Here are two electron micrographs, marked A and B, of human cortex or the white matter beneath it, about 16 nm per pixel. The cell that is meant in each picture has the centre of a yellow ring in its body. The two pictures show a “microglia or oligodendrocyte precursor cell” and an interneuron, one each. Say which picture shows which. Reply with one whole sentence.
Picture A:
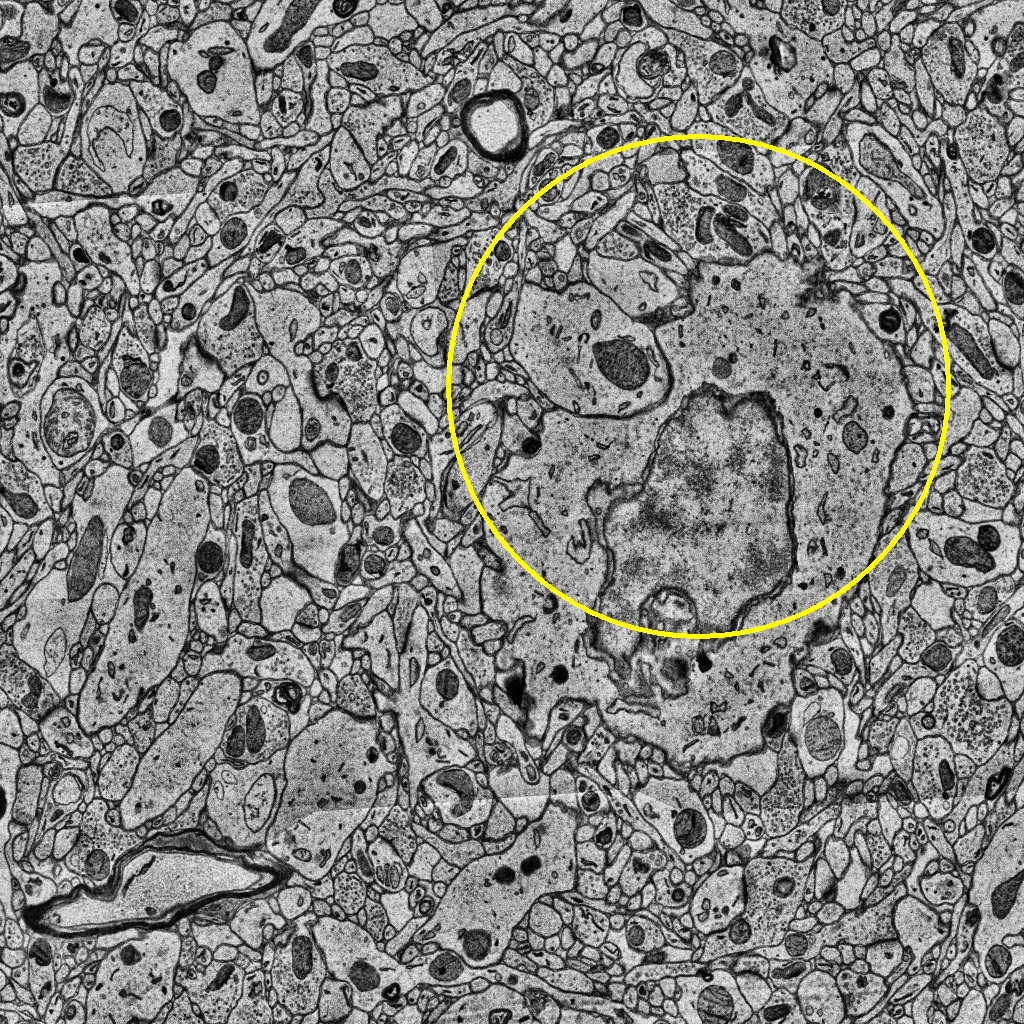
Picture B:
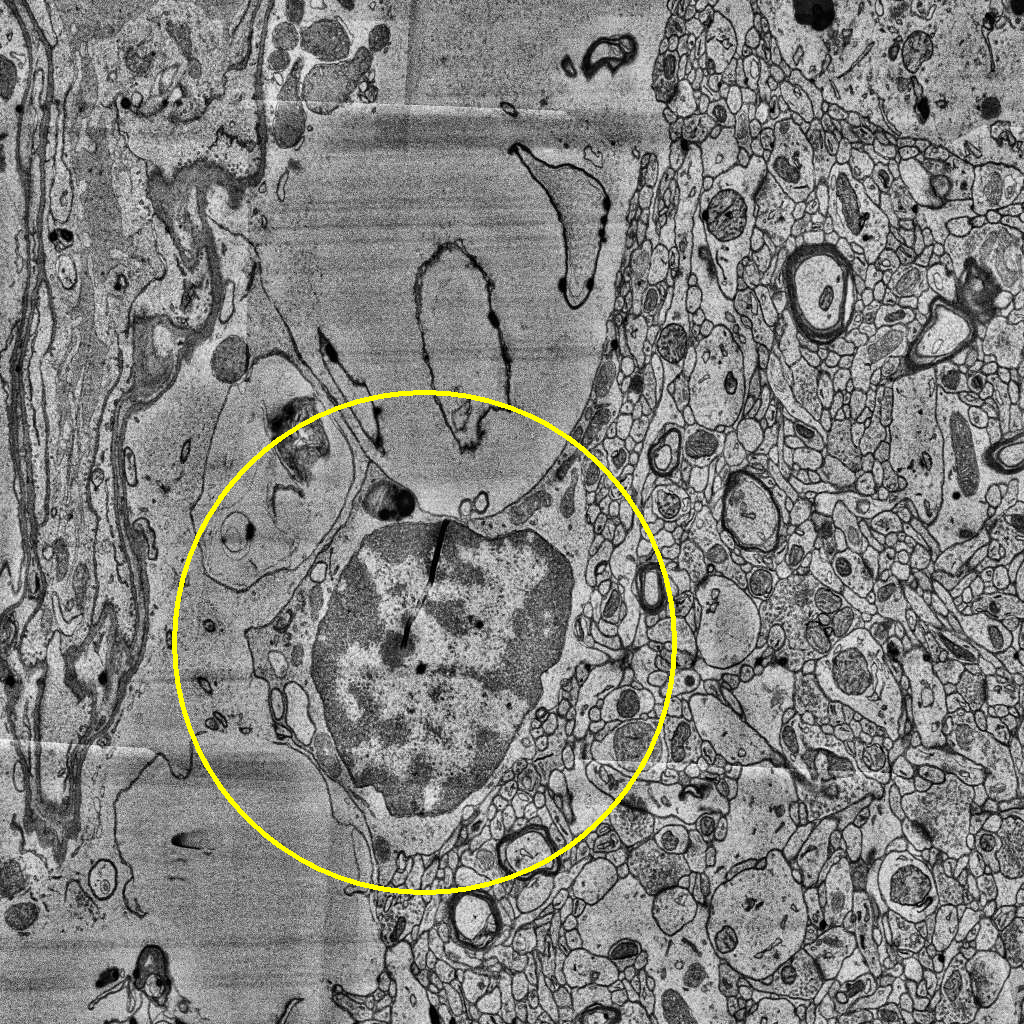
Picture A shows an interneuron and picture B shows a “microglia or oligodendrocyte precursor cell”.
